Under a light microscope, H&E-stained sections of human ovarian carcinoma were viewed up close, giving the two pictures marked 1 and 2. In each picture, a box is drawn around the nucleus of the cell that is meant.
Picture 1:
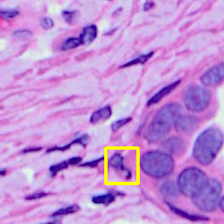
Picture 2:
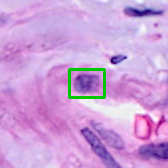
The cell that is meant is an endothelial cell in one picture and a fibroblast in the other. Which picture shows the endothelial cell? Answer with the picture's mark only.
2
